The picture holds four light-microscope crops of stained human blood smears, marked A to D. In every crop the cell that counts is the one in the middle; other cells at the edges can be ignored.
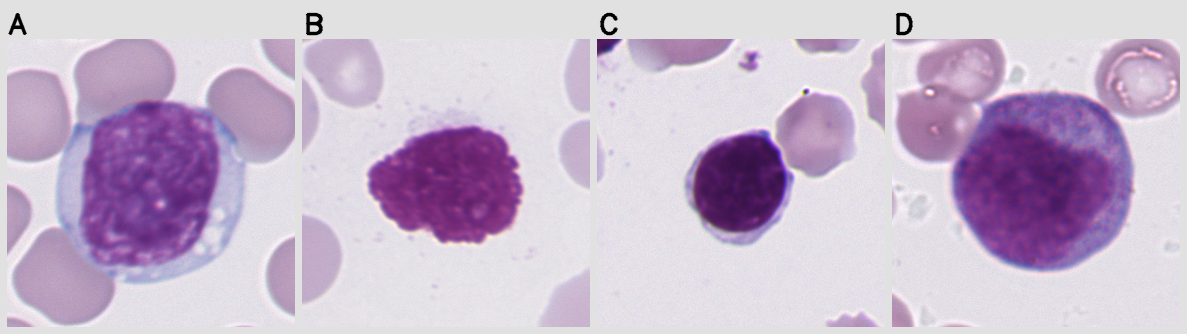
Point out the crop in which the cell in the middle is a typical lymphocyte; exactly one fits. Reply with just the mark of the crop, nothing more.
C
